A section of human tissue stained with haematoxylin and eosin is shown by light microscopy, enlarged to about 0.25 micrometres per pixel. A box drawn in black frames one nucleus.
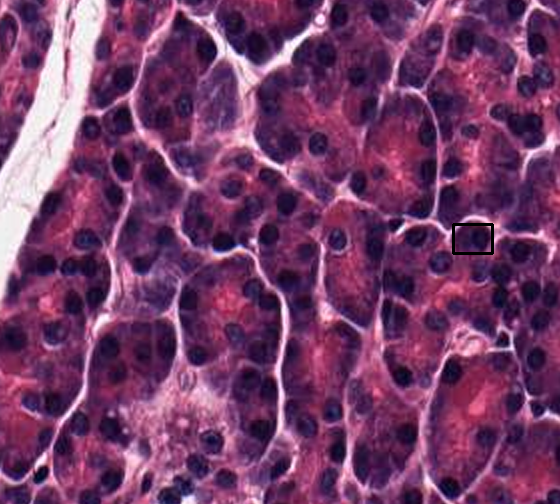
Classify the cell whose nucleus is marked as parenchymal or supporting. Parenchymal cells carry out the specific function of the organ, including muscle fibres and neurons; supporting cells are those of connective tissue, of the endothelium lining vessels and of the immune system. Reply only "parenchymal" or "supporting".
parenchymal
